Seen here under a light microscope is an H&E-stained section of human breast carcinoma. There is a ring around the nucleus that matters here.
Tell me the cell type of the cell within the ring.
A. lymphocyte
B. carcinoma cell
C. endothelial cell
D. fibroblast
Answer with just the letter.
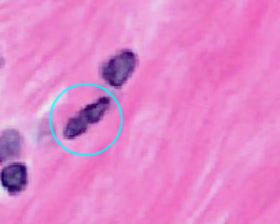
A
